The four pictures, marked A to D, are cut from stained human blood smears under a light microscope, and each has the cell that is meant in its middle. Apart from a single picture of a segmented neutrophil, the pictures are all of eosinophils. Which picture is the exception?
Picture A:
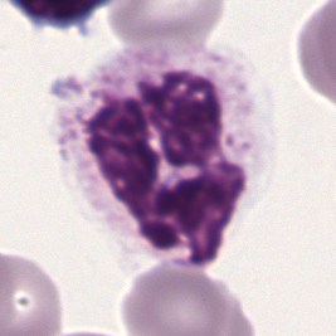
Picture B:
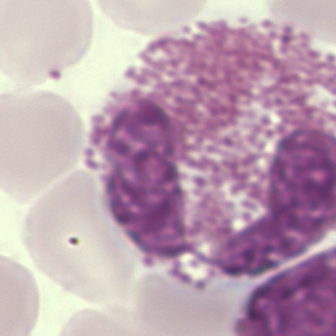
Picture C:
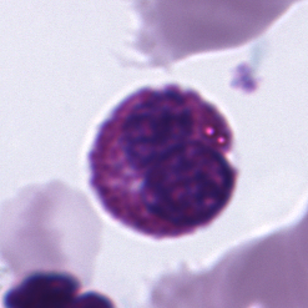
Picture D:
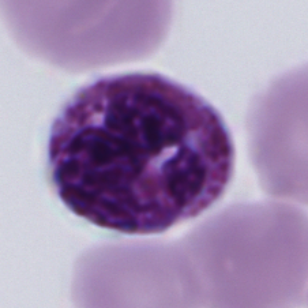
A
